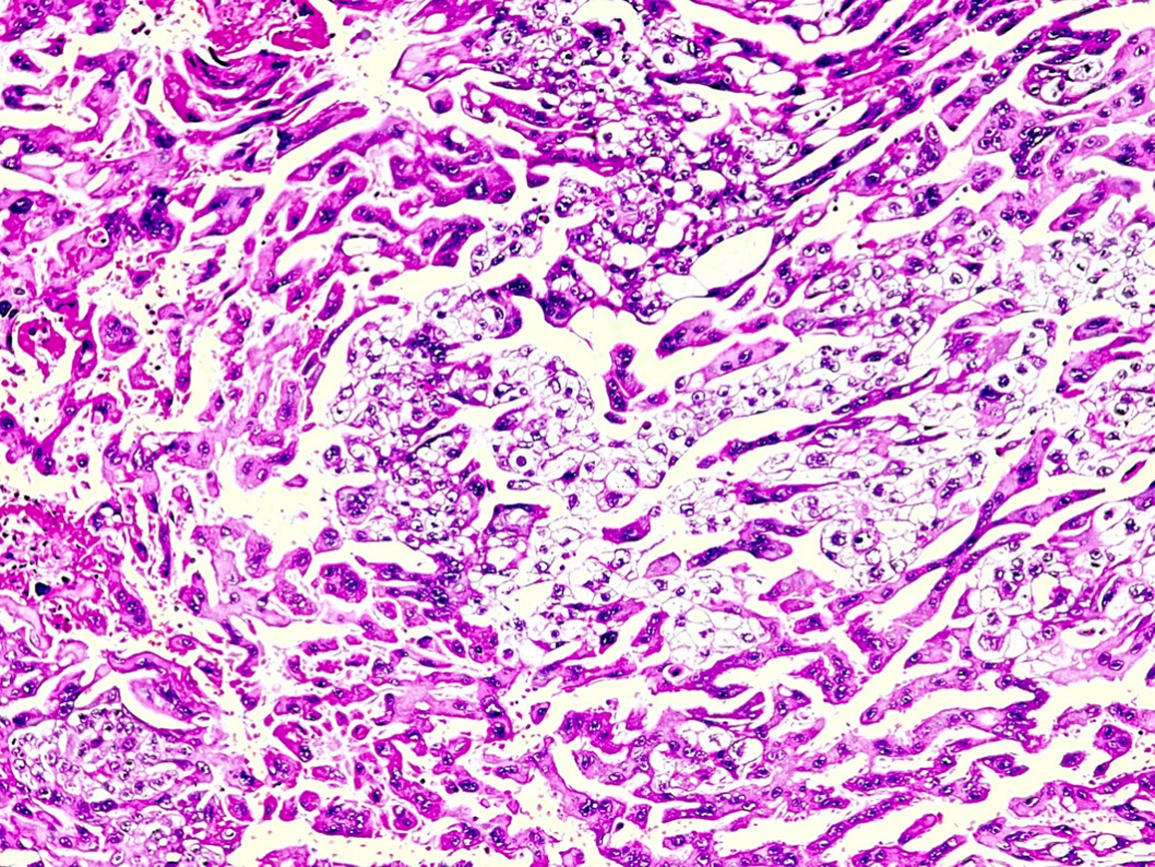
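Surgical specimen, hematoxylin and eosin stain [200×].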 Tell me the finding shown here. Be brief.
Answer: Choriocarcinoma.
